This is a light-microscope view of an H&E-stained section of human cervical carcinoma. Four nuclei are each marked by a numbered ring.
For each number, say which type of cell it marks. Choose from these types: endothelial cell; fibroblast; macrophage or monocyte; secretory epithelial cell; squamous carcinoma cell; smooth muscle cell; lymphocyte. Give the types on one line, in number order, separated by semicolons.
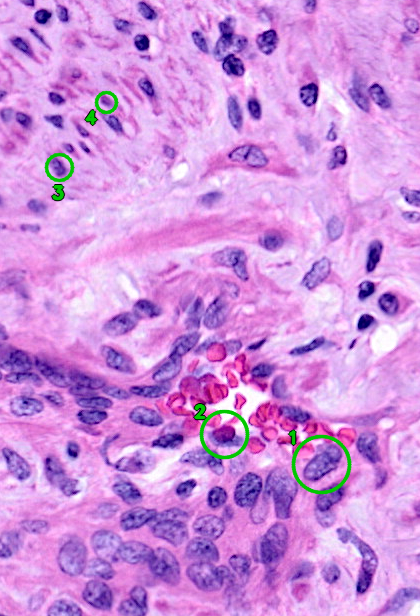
endothelial cell; endothelial cell; smooth muscle cell; smooth muscle cell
